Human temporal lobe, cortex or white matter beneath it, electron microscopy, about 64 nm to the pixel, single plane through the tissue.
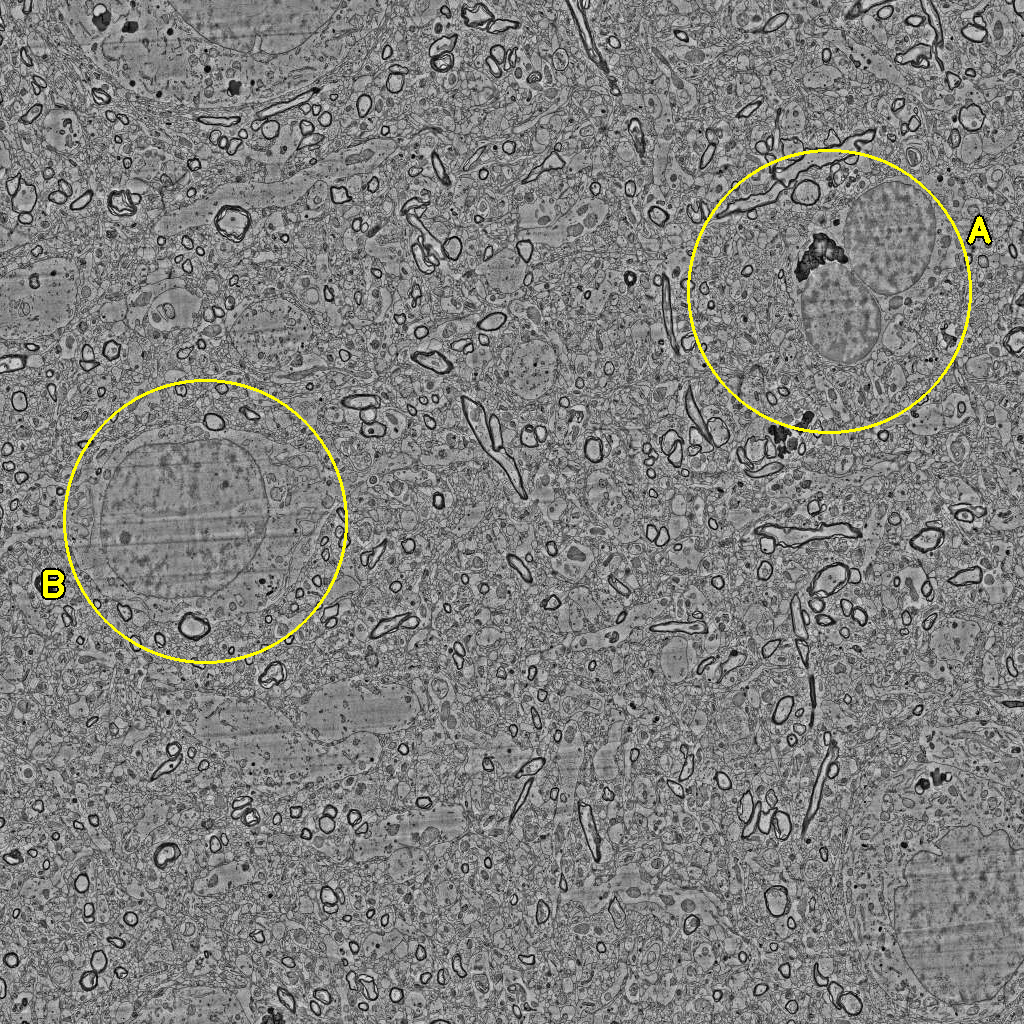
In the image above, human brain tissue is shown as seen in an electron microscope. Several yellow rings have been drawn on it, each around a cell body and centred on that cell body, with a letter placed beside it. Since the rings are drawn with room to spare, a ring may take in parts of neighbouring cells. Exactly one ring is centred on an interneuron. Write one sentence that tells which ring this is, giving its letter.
The ring marked B is centred on it.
